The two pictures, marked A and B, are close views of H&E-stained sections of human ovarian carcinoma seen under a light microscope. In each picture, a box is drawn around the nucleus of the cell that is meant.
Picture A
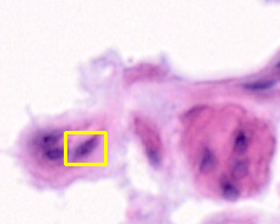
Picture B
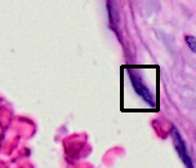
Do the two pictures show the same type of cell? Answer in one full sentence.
Yes, both are endothelial cells.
